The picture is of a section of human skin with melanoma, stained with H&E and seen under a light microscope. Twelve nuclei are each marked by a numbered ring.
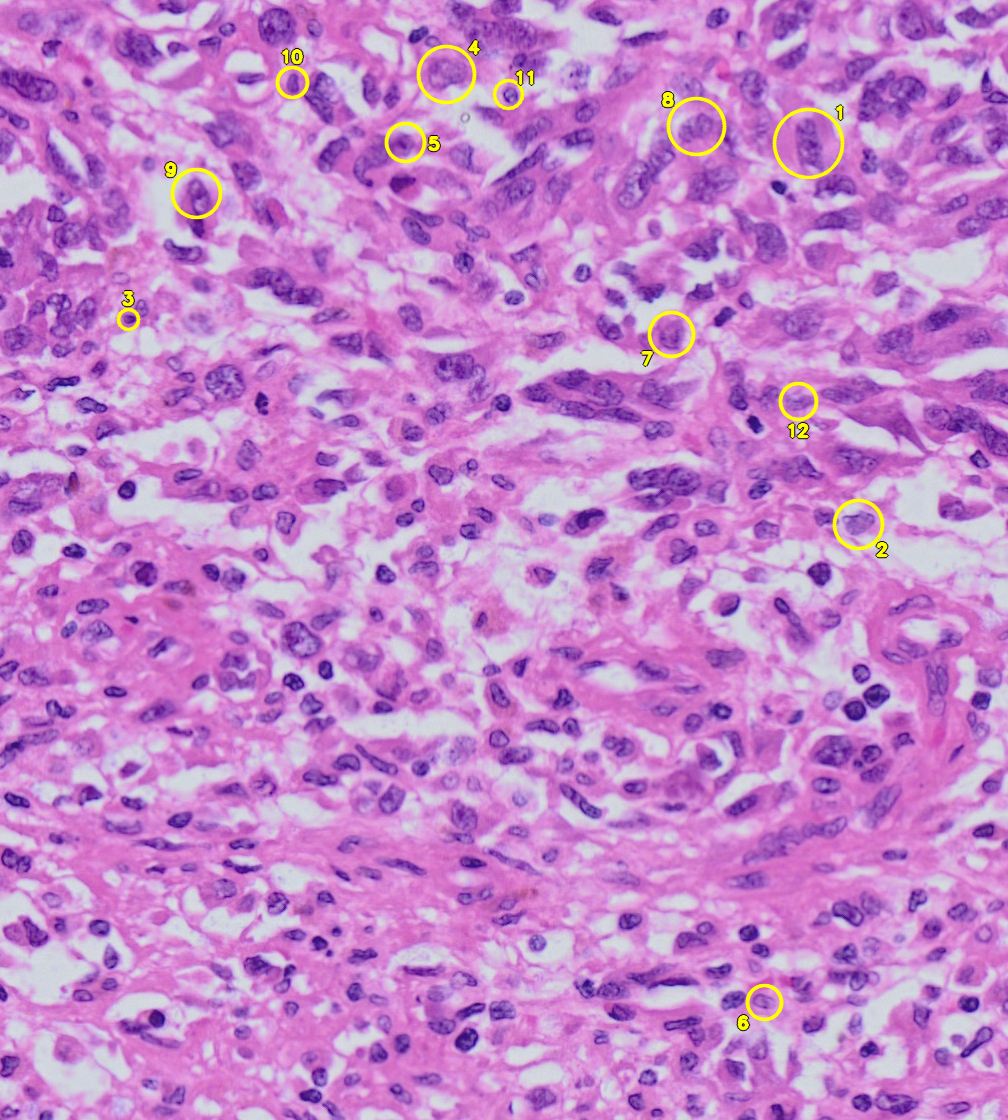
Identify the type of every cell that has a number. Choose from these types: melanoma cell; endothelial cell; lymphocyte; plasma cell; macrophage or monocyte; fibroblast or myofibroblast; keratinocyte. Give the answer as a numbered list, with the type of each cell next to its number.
1. melanoma cell
2. macrophage or monocyte
3. macrophage or monocyte
4. melanoma cell
5. melanoma cell
6. macrophage or monocyte
7. melanoma cell
8. melanoma cell
9. melanoma cell
10. macrophage or monocyte
11. lymphocyte
12. melanoma cell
